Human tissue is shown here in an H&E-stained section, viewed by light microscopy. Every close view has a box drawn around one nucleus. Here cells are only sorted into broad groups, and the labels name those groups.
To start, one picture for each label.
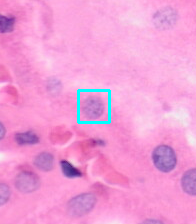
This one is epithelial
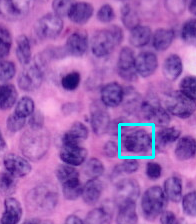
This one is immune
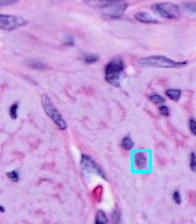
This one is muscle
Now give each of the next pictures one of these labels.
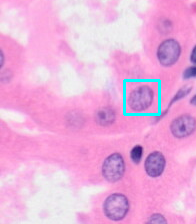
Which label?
epithelial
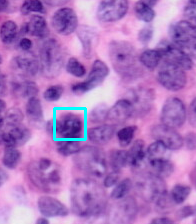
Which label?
immune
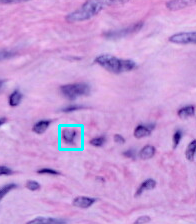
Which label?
muscle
